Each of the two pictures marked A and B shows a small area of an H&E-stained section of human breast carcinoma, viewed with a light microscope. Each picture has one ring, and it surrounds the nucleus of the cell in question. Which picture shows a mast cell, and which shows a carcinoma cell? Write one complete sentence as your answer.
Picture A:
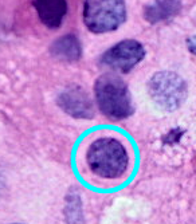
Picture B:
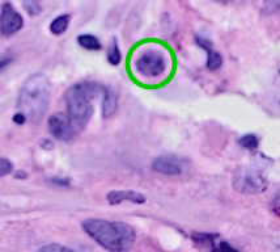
It is picture A that shows a carcinoma cell, and picture B that shows a mast cell.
